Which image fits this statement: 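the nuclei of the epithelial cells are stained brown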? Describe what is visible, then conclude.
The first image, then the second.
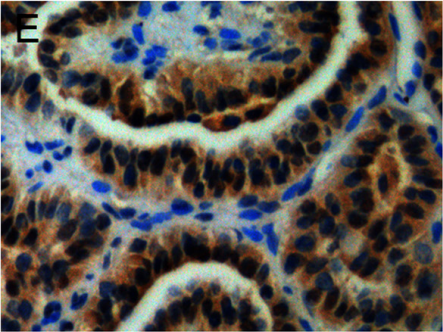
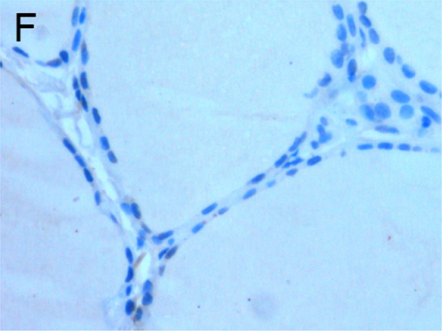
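Second image: the follicular cell nuclei are blue only, with no brown stain. First image: the epithelial nuclei are dark brown and the cytoplasm brown. On this evidence: the first image.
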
